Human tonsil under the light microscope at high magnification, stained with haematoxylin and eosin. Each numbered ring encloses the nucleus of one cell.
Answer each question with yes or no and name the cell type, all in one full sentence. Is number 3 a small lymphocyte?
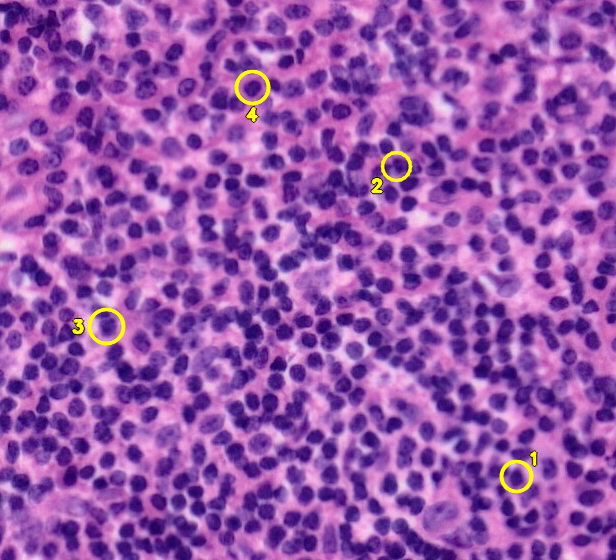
Yes, the cell indicated by number 3 is a small lymphocyte.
